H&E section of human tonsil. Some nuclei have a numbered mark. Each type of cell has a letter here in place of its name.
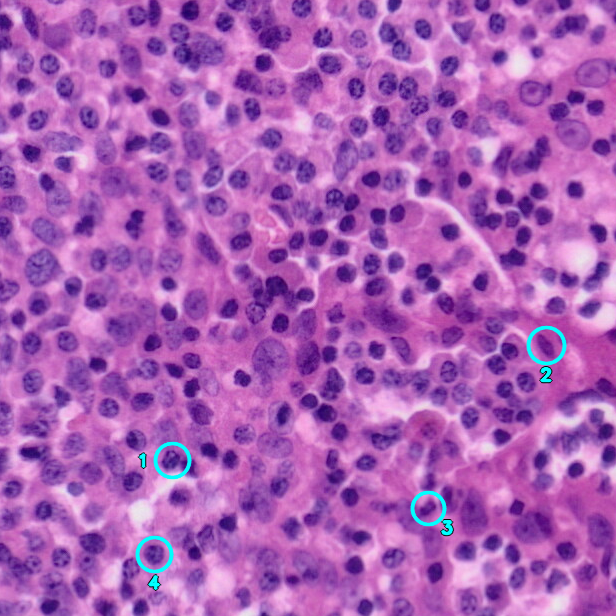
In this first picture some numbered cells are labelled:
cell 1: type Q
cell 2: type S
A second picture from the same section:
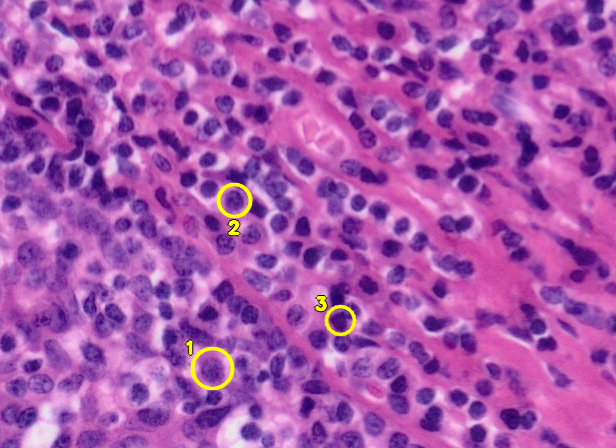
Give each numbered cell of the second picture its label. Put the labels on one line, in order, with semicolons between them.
type S; type Q; type Q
